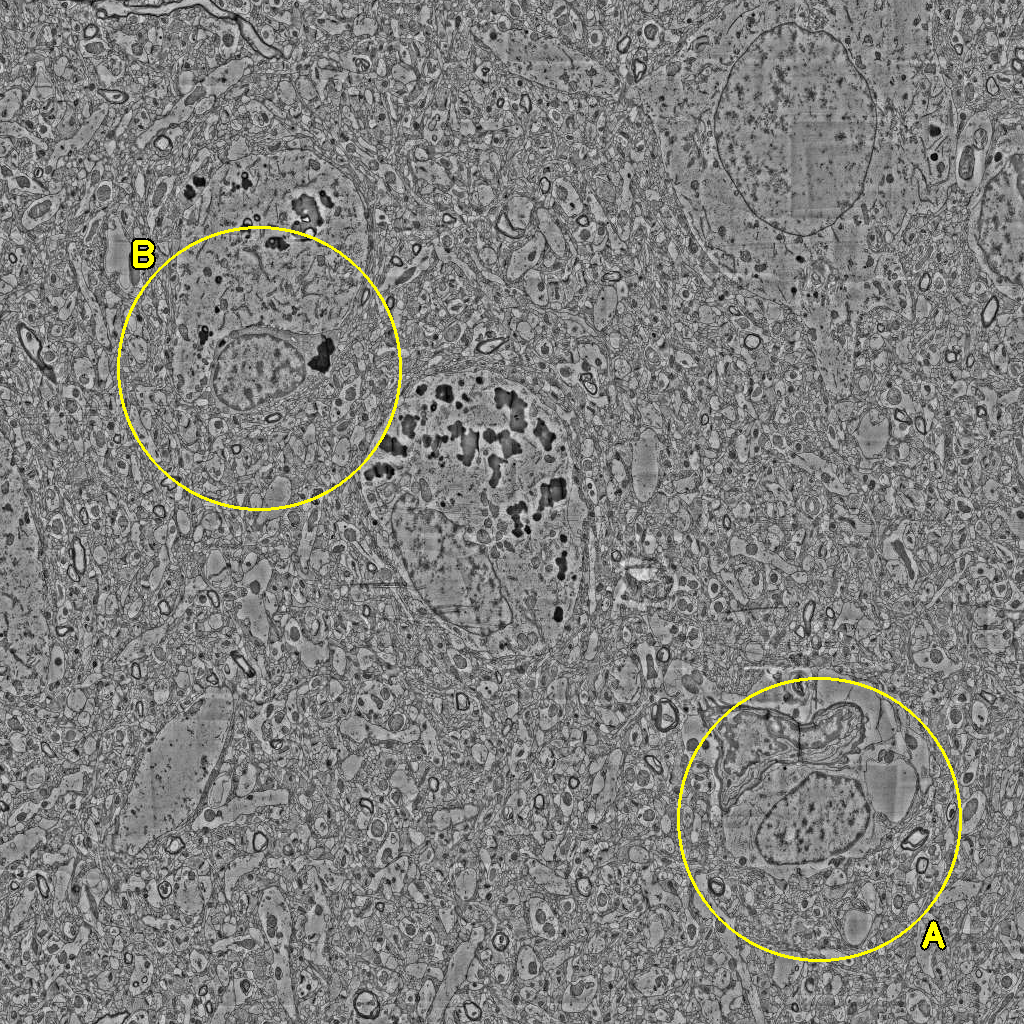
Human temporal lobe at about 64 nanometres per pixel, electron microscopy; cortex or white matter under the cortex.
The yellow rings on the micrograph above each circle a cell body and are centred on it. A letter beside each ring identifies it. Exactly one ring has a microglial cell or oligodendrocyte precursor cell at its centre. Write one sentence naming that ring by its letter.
Ring A is the one.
